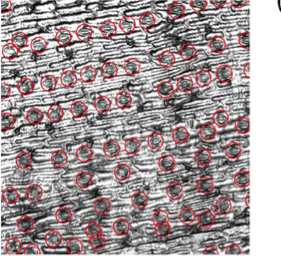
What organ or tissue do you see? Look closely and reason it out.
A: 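Leaf surface. Elongated epidermal cells with wavy walls lie in parallel rows. Small paired pore structures are spaced along files between the long cells.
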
